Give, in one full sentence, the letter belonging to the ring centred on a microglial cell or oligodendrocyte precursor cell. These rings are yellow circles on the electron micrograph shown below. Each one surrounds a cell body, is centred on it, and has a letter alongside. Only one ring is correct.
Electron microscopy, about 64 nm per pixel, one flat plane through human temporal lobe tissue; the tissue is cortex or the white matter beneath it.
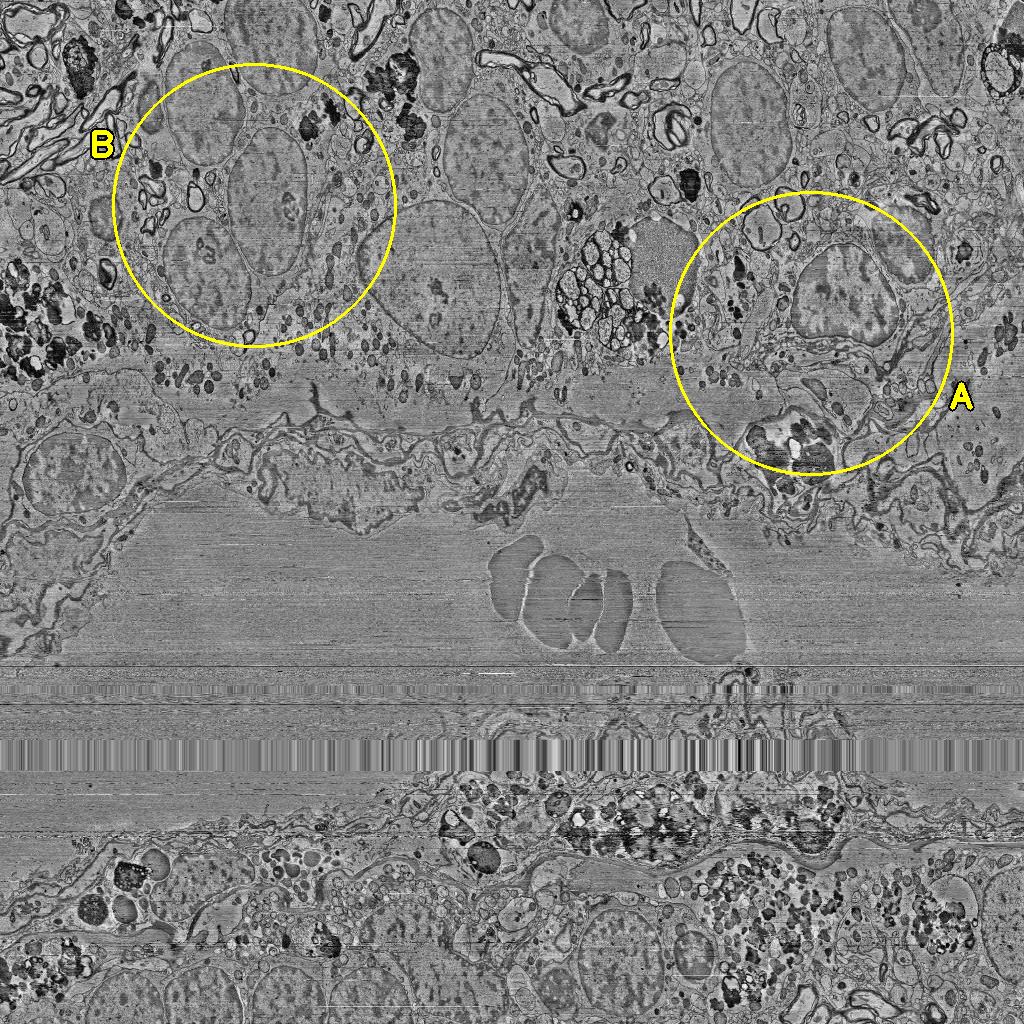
My answer is A, the ring centred on the cell asked for.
